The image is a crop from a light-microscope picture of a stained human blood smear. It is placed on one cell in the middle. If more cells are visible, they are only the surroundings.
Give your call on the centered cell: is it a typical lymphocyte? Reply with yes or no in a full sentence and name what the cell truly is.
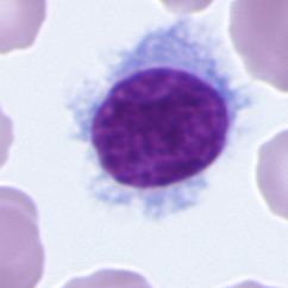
No, at the centre of this crop is found a hairy cell instead of a typical lymphocyte.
